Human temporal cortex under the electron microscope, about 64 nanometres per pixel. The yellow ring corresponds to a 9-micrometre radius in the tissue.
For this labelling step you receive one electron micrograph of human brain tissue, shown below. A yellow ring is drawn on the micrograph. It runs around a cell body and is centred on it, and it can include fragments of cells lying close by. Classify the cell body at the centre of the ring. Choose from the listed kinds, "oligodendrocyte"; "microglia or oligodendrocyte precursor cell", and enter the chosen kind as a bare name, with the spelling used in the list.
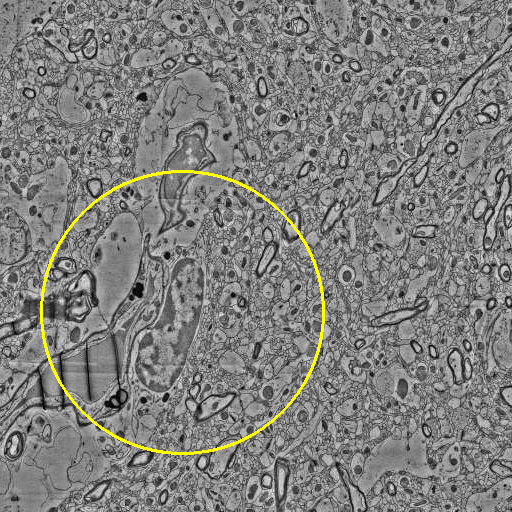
microglia or oligodendrocyte precursor cell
